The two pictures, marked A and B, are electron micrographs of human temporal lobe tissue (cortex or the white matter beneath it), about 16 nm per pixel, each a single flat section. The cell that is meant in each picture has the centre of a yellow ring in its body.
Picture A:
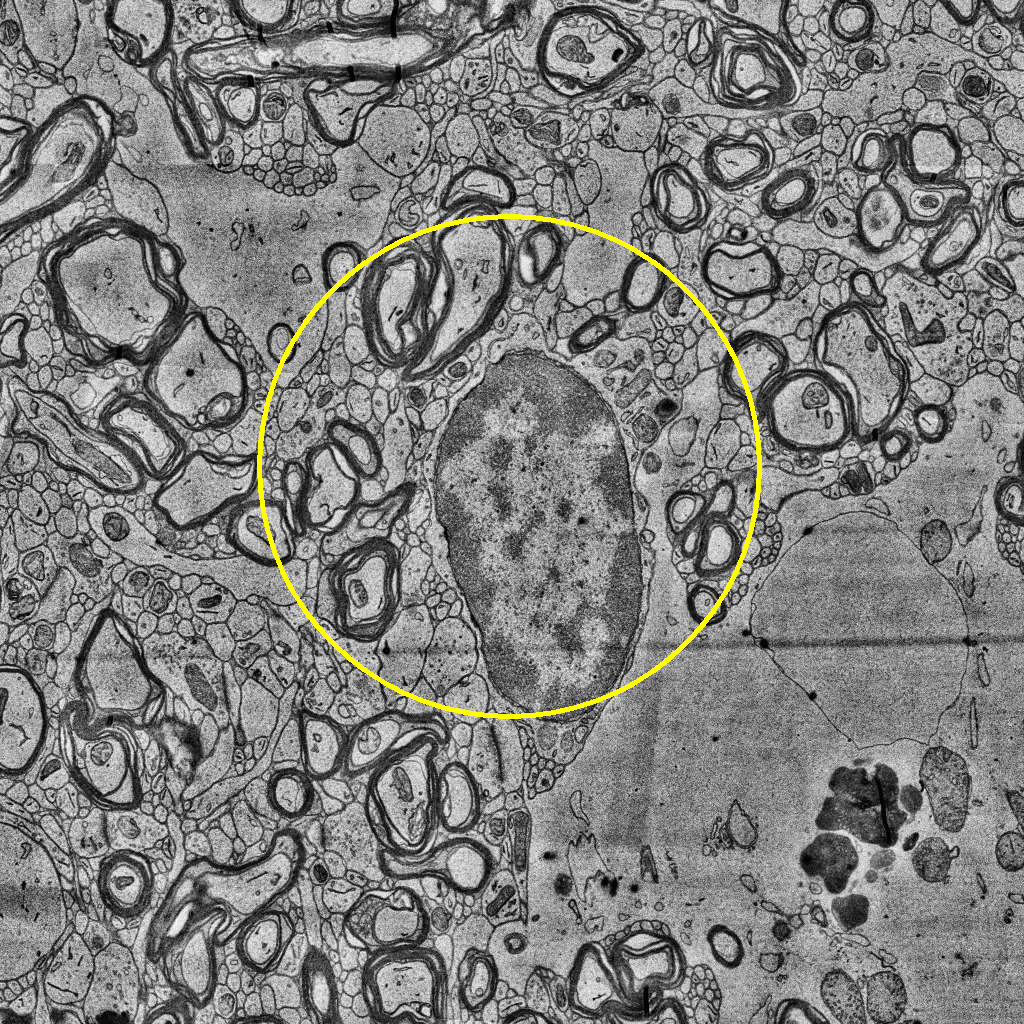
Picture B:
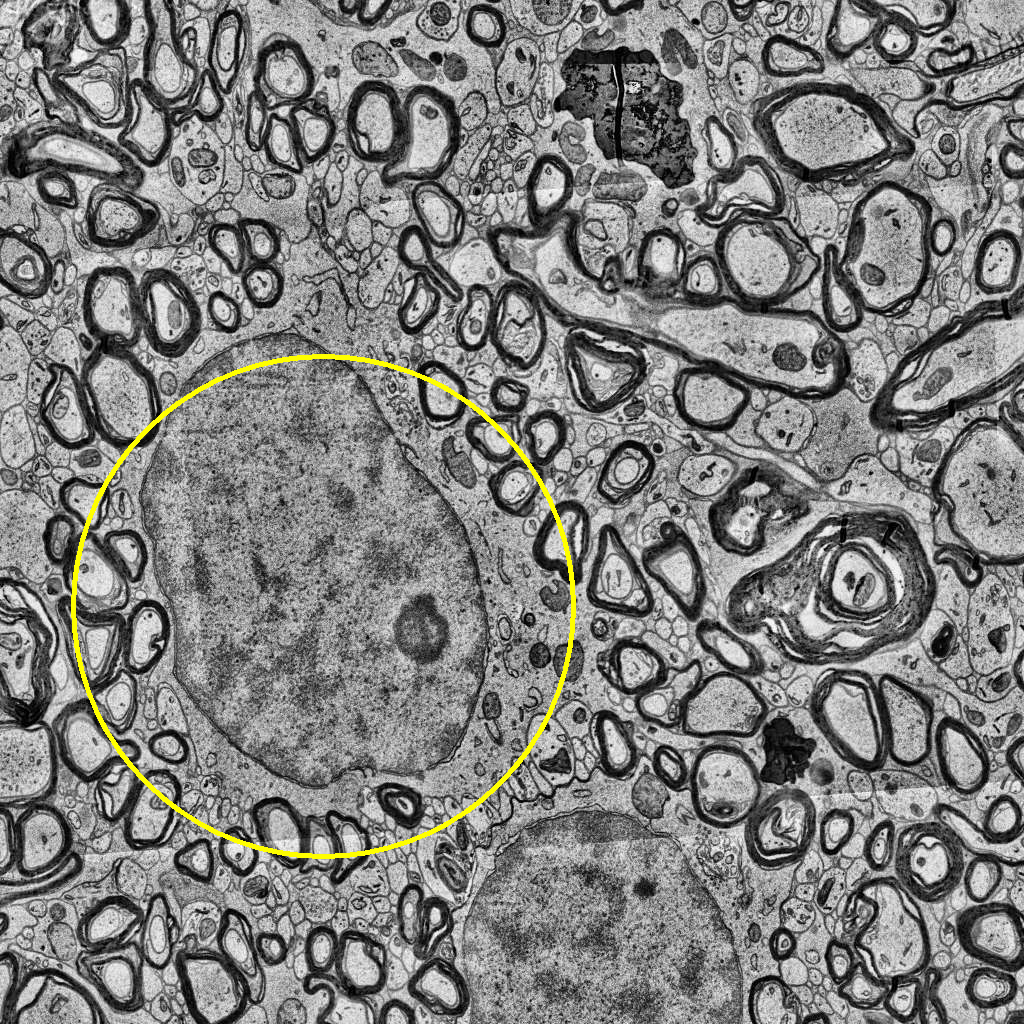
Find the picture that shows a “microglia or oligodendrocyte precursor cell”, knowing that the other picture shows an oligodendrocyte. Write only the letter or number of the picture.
A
